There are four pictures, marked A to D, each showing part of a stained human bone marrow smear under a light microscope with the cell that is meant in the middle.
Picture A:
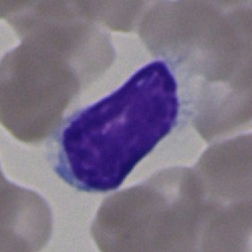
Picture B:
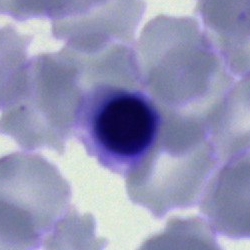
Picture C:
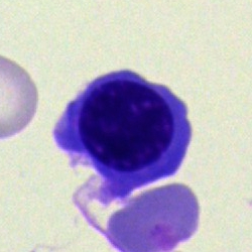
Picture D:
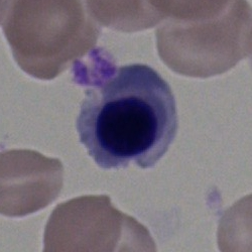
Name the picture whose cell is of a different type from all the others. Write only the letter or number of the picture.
A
